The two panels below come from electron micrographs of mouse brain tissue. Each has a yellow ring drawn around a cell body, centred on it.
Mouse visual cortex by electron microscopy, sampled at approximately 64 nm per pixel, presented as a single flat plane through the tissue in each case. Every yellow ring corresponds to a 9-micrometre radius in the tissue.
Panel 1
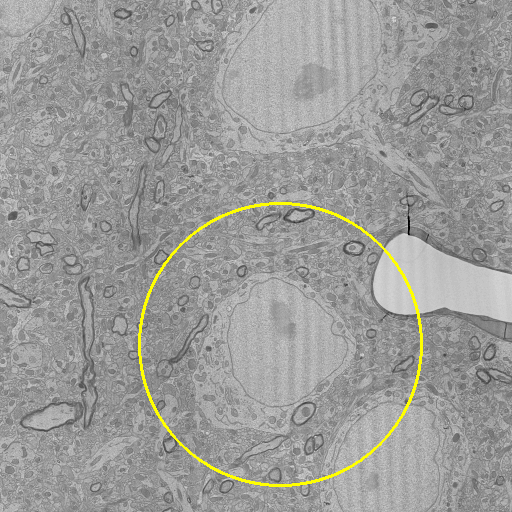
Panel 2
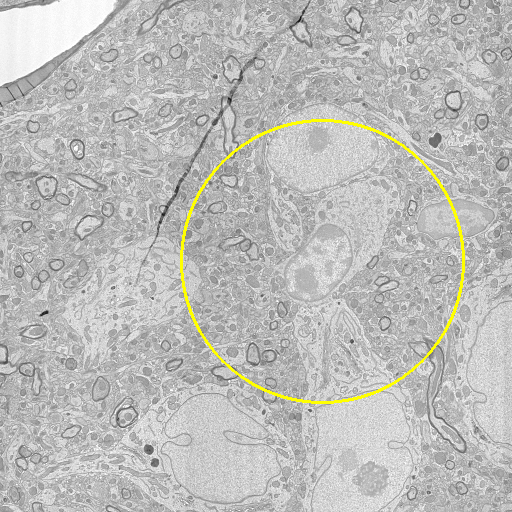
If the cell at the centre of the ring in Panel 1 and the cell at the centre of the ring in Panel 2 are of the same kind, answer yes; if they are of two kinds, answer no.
no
